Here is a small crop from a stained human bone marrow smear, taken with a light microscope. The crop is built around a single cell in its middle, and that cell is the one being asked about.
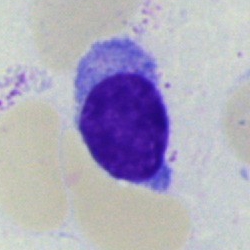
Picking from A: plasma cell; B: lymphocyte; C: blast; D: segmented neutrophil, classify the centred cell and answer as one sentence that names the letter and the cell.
Option B is accurate; the centrally placed cell is a lymphocyte.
